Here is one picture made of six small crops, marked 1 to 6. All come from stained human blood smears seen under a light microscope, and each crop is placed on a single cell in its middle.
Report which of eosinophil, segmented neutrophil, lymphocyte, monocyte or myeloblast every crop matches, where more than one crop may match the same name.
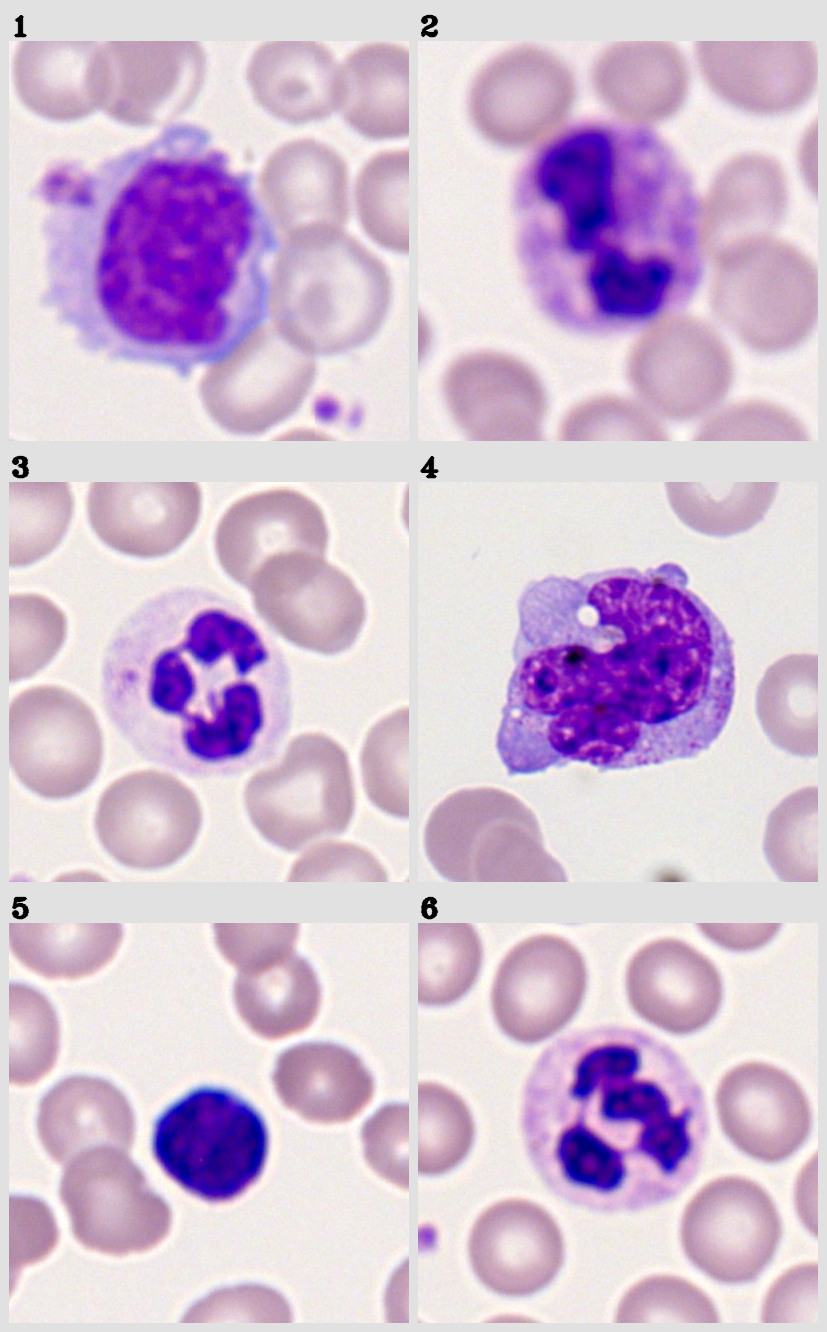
1: monocyte
2: segmented neutrophil
3: segmented neutrophil
4: monocyte
5: lymphocyte
6: segmented neutrophil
